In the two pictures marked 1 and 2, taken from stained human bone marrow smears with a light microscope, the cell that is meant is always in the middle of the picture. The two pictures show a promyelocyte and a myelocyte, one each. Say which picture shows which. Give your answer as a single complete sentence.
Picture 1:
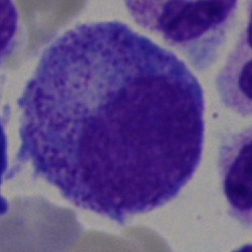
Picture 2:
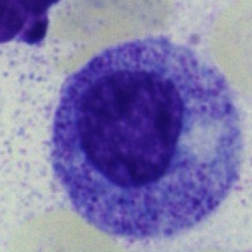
The cell in picture 1 is a promyelocyte, and the one in picture 2 is a myelocyte.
